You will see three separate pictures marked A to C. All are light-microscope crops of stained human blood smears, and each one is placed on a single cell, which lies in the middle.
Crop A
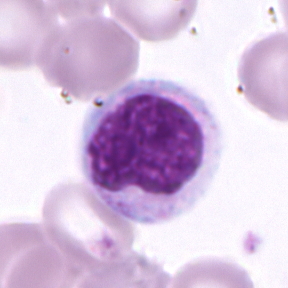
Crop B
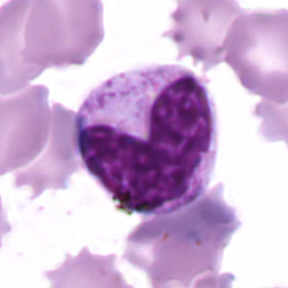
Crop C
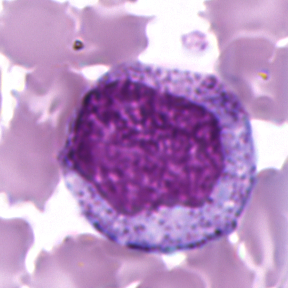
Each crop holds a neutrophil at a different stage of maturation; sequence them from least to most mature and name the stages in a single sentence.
In order of increasing maturity, the crops run crop C (a myelocyte), crop A (a metamyelocyte) and crop B (a band neutrophil).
